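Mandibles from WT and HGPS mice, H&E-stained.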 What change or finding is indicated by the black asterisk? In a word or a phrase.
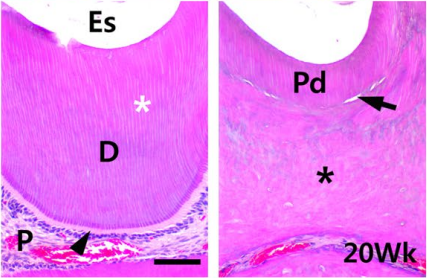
Pulp obliteration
